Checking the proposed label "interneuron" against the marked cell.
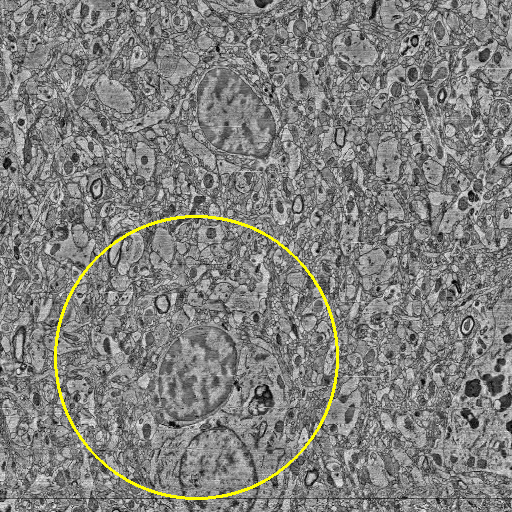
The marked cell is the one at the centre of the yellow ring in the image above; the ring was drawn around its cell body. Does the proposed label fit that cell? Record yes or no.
no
